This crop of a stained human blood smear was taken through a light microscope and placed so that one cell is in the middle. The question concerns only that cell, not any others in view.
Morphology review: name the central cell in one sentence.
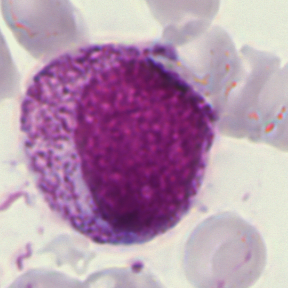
What the crop centres on is a promyelocyte.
